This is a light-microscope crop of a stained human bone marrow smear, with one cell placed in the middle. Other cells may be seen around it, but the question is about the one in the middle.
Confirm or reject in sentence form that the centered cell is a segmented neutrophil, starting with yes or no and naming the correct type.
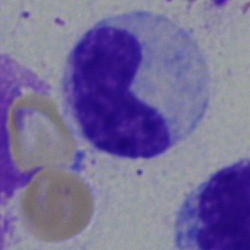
No, the correct answer for the middle cell is a band neutrophil, not a segmented neutrophil.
